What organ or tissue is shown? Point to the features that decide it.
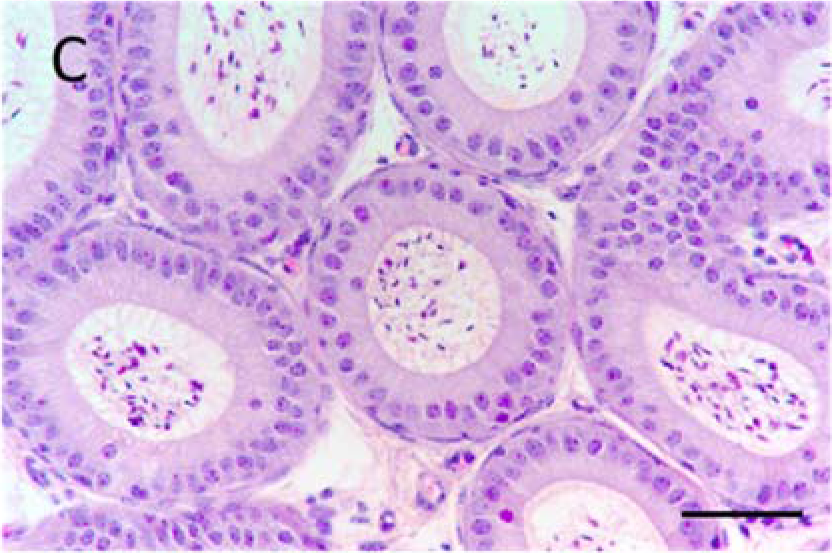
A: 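Tubules lined by a tall single-layered columnar epithelium with round nuclei near the base. Lumens are relatively small and hold scattered dark sperm heads. Thin connective tissue lies between the tubules.
Caput.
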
